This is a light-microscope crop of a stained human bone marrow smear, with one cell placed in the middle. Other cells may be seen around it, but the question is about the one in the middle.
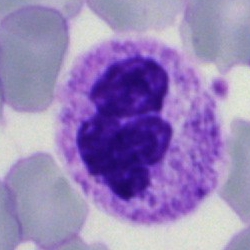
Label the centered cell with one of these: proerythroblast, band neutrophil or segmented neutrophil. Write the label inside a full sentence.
Standing at the centre of this crop is a segmented neutrophil.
